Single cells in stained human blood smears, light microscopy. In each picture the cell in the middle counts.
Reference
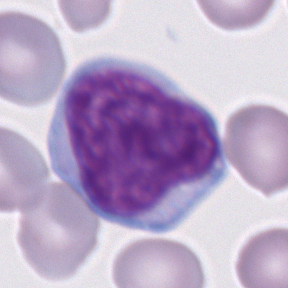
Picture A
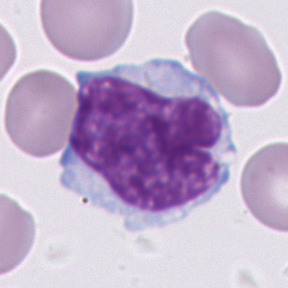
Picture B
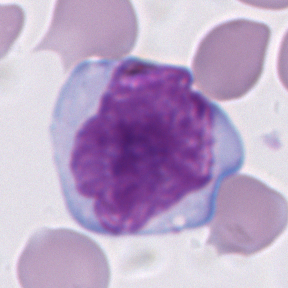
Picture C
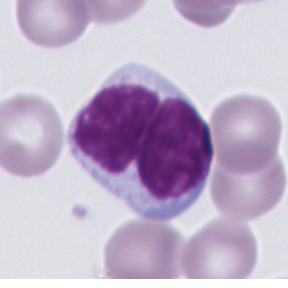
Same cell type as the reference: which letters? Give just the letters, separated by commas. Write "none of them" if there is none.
A, B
